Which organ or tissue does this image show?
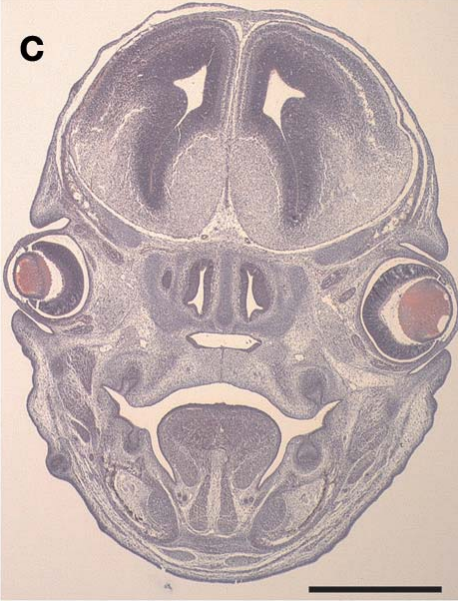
crania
